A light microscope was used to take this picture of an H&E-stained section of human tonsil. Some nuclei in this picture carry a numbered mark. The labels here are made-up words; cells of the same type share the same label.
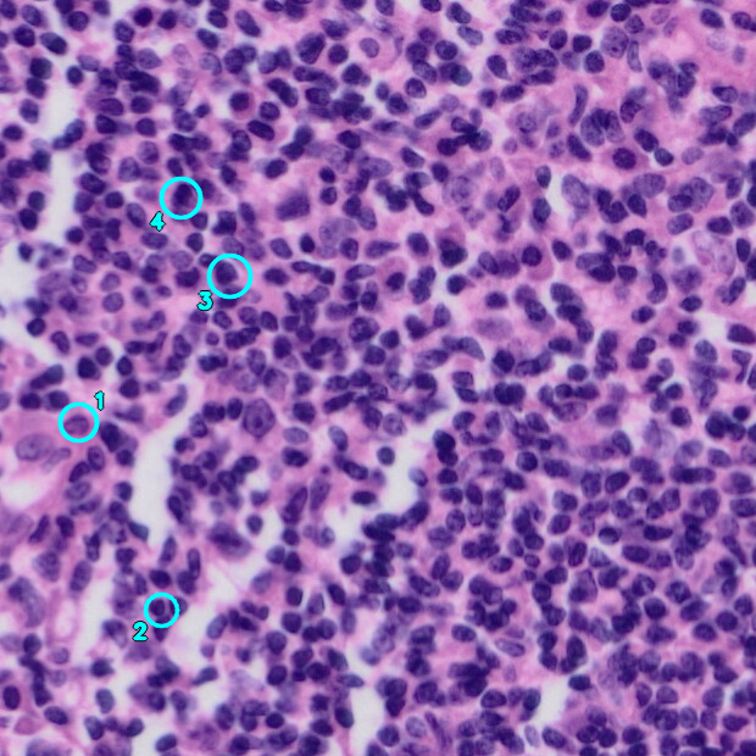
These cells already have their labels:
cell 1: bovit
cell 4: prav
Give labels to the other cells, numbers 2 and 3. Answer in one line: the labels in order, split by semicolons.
prav; prav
